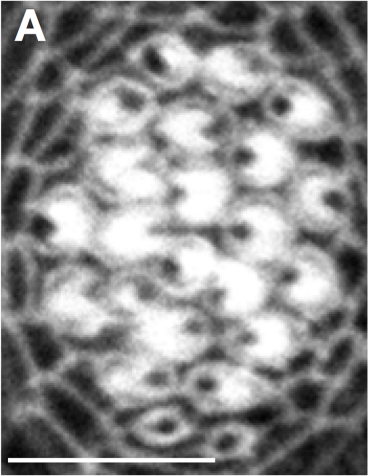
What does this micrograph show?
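Apical view of a lateral line neuromast, showing a compact oval cluster of roughly twenty bright, rounded hair cell apices. The cluster is ringed by a polygonal meshwork of thin bright outlines of the surrounding flat epithelial cells. Many apices show a small dark spot lying toward one side rather than in the centre.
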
